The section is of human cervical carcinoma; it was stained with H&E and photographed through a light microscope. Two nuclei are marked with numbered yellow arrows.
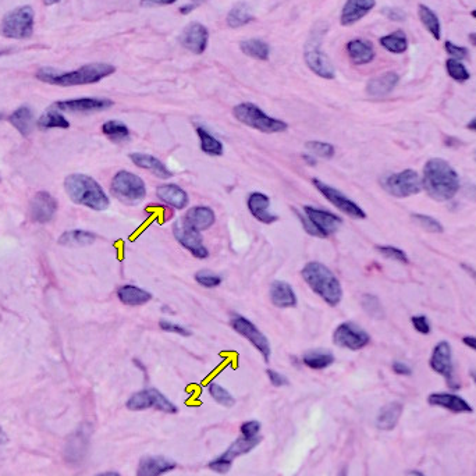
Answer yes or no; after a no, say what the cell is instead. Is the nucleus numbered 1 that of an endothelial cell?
Yes.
